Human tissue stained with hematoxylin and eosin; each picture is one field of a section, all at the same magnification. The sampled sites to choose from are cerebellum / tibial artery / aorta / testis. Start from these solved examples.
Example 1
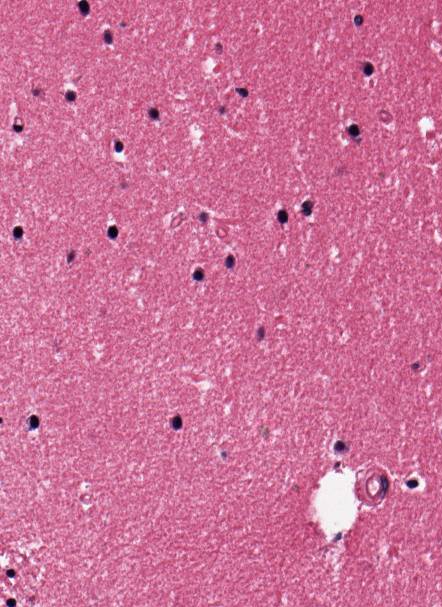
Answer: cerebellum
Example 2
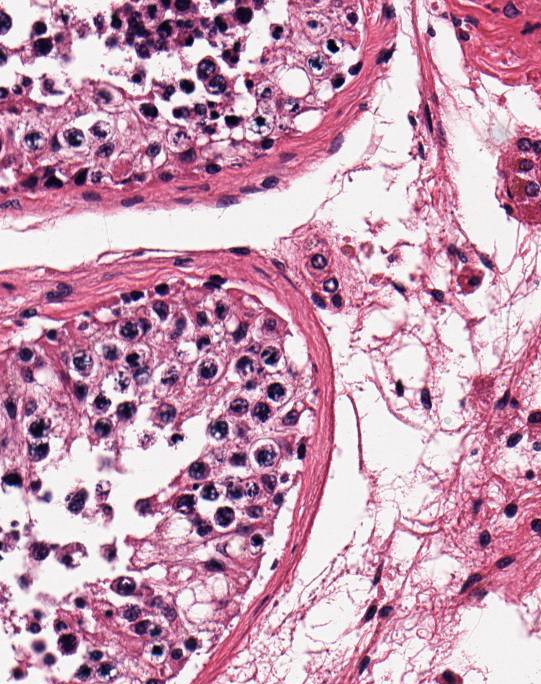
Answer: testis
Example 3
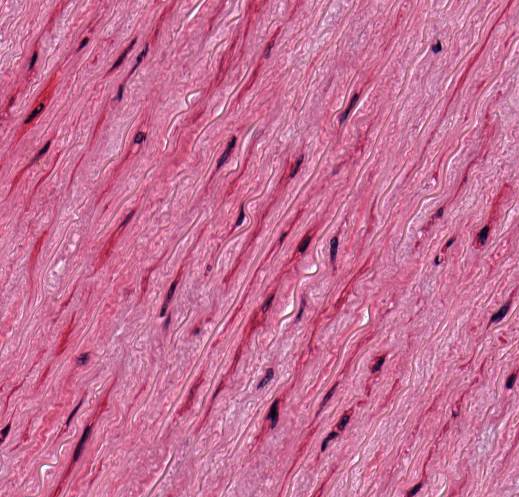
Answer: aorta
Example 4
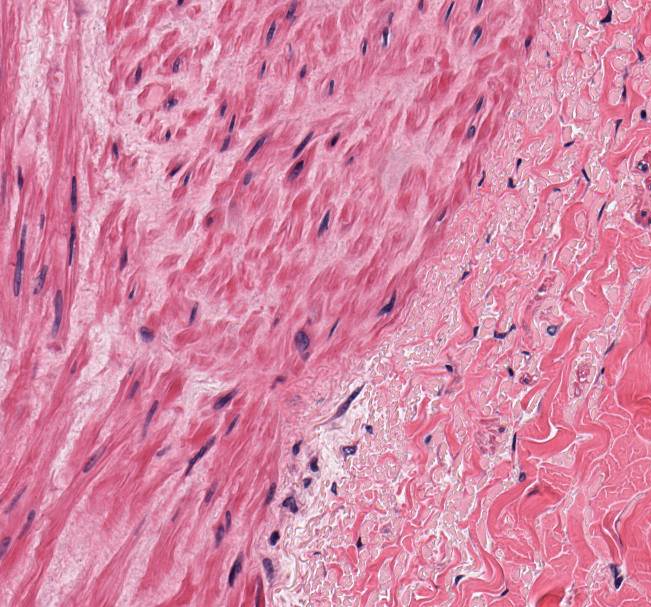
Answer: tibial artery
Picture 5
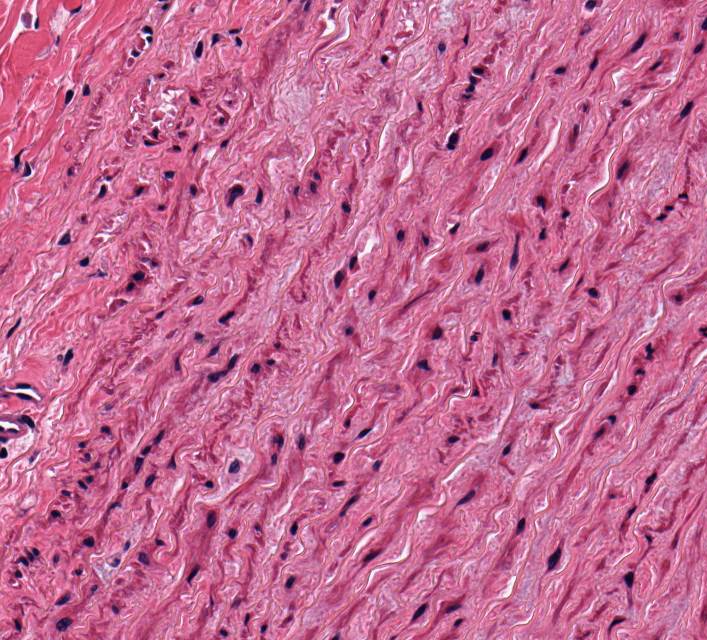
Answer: aorta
